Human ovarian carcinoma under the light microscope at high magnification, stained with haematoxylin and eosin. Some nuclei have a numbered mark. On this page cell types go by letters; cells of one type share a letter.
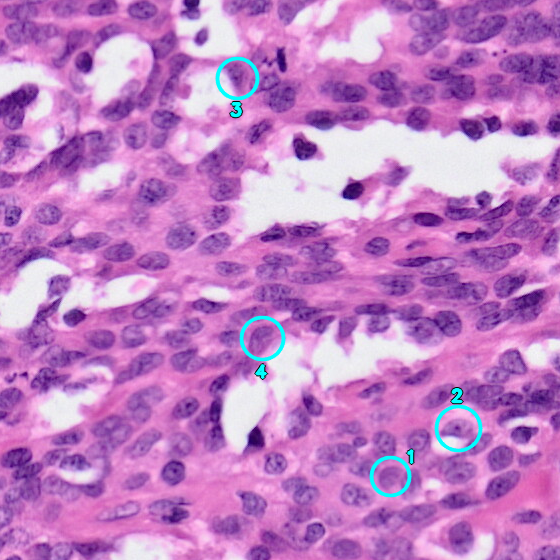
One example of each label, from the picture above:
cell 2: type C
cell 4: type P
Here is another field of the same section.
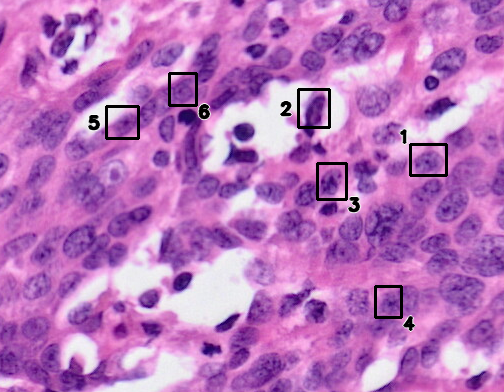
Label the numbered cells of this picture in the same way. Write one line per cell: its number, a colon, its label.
1: type C
2: type P
3: type C
4: type P
5: type P
6: type P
